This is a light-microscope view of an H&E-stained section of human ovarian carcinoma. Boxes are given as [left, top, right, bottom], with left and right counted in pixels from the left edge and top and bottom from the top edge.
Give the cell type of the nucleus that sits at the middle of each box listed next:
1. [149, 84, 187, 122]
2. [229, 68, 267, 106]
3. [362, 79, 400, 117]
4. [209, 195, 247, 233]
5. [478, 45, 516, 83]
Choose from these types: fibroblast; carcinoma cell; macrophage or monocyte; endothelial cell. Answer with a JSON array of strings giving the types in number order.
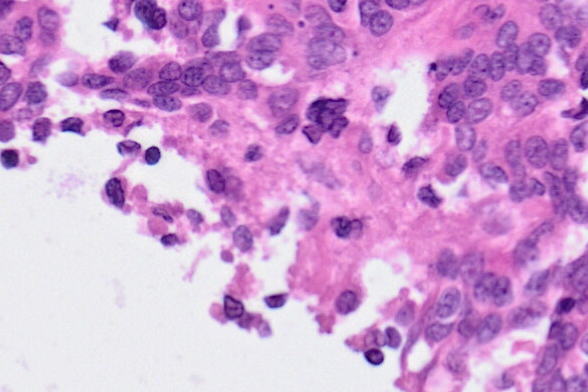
["carcinoma cell", "carcinoma cell", "macrophage or monocyte", "macrophage or monocyte", "carcinoma cell"]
